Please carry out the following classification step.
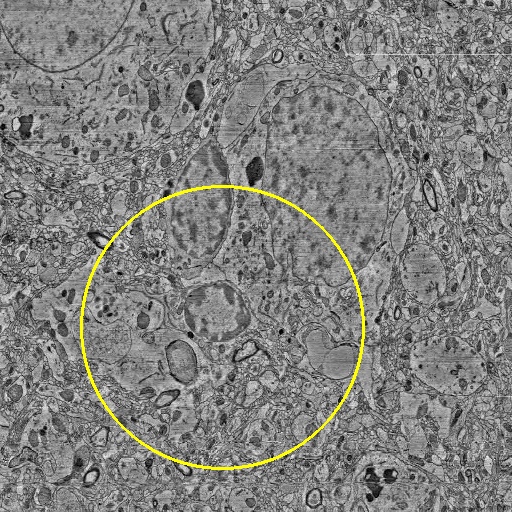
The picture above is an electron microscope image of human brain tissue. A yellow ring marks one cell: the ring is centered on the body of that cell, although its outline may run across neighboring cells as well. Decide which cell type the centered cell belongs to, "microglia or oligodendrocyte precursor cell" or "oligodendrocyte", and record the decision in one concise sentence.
The cell centered in the yellow ring is a microglial cell or oligodendrocyte precursor cell.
